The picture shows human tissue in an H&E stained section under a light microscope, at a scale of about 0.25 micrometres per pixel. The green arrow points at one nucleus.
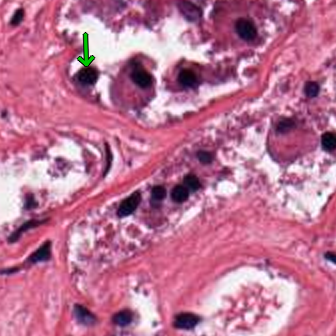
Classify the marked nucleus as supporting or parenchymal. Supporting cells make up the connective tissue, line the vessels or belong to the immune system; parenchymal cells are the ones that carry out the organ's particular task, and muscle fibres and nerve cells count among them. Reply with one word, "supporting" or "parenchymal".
parenchymal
